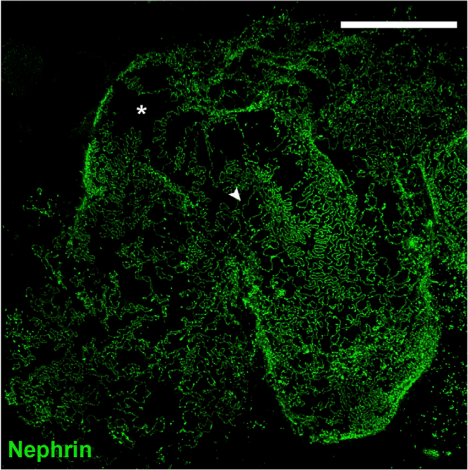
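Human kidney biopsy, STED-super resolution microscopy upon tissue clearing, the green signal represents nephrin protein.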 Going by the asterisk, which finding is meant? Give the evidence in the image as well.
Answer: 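Denudated areas with podocyte loss. The asterisk lies in a dark region with only scattered dots of stain. The fine meandering pattern is missing there.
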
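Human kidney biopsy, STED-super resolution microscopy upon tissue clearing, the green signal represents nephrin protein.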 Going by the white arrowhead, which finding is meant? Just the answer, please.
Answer: Foot process effacement.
